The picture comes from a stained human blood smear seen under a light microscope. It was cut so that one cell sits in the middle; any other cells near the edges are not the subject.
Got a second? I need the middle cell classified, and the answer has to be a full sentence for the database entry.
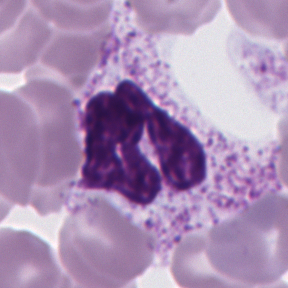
In the center of this field lies a segmented neutrophil.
